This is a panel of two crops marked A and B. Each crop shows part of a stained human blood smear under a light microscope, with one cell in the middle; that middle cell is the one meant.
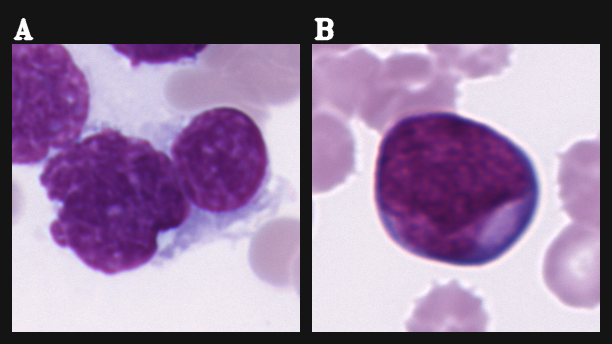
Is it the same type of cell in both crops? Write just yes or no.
yes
